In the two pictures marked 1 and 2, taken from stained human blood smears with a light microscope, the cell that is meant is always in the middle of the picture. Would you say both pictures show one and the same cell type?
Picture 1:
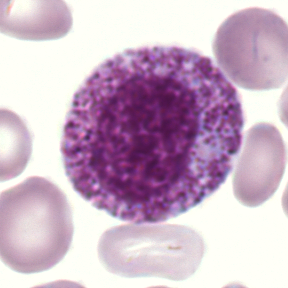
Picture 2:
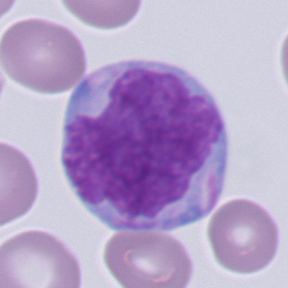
no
